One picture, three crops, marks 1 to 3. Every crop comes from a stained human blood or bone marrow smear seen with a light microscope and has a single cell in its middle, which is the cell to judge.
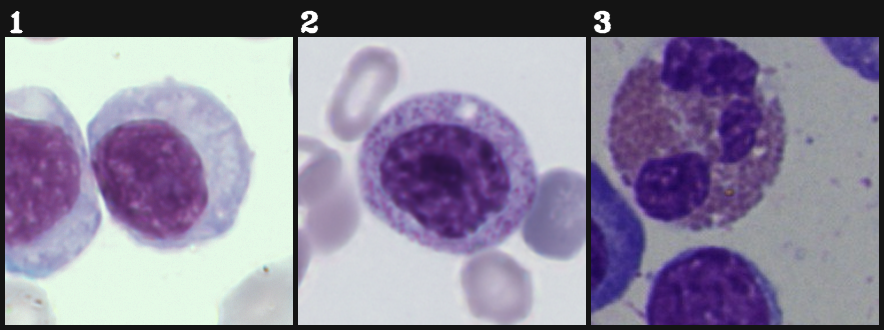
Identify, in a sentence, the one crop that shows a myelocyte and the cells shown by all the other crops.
In crop 2 the central cell is a myelocyte, while crop 1 is a plasma cell and crop 3 is an eosinophil.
